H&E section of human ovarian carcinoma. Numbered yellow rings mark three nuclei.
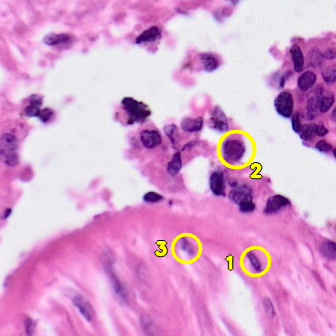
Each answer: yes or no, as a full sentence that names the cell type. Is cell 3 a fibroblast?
Yes, in this tissue section, number 3 is a fibroblast.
